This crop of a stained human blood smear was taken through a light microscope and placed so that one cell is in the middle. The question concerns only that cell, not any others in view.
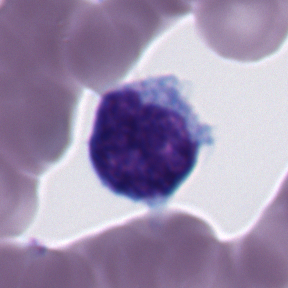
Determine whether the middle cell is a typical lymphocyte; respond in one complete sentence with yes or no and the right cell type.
Yes, the cell in the middle is recognised as a typical lymphocyte.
